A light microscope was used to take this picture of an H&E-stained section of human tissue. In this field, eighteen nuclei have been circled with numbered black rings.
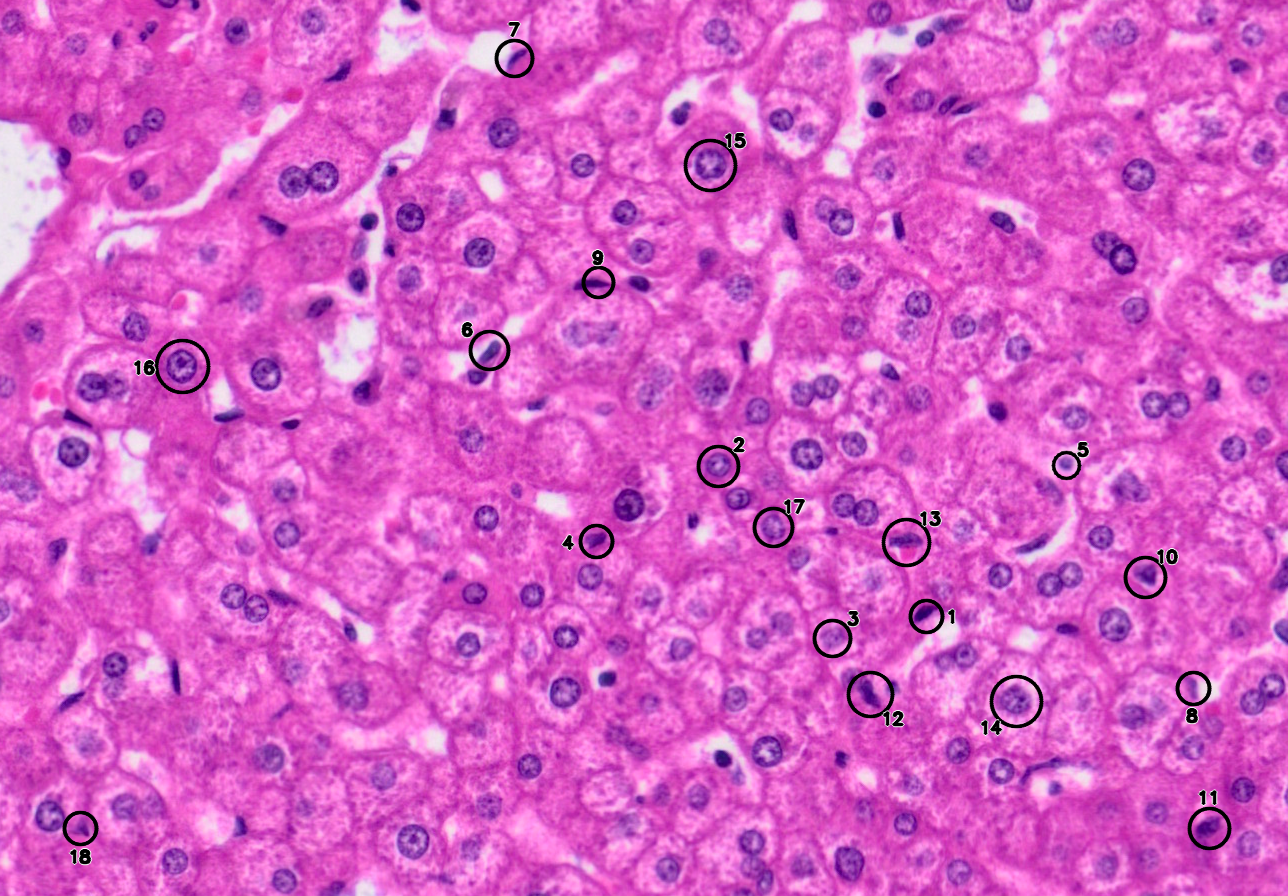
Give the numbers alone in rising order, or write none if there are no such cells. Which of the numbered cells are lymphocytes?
5, 6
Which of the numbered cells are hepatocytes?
2, 3, 14, 15, 16, 17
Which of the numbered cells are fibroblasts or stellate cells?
1, 4, 9, 11, 12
